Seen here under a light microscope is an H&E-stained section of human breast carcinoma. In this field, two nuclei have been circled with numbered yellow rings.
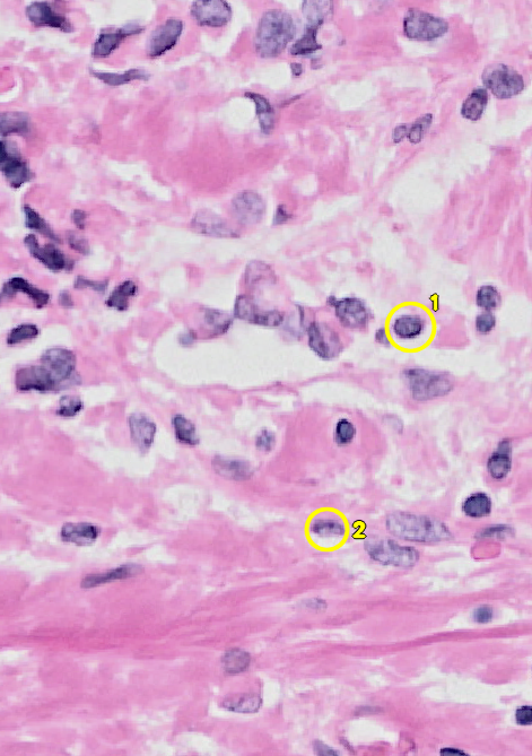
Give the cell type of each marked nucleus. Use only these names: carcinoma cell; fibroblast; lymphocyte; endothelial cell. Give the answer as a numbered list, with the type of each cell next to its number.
1. lymphocyte
2. fibroblast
